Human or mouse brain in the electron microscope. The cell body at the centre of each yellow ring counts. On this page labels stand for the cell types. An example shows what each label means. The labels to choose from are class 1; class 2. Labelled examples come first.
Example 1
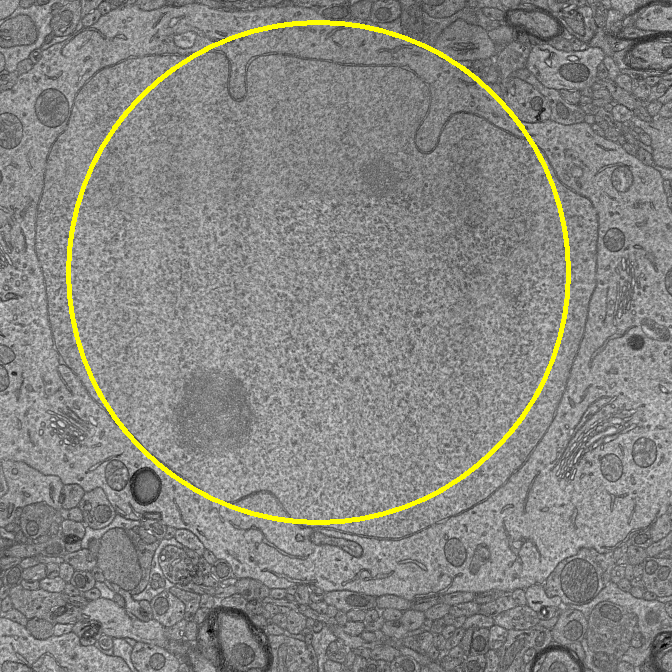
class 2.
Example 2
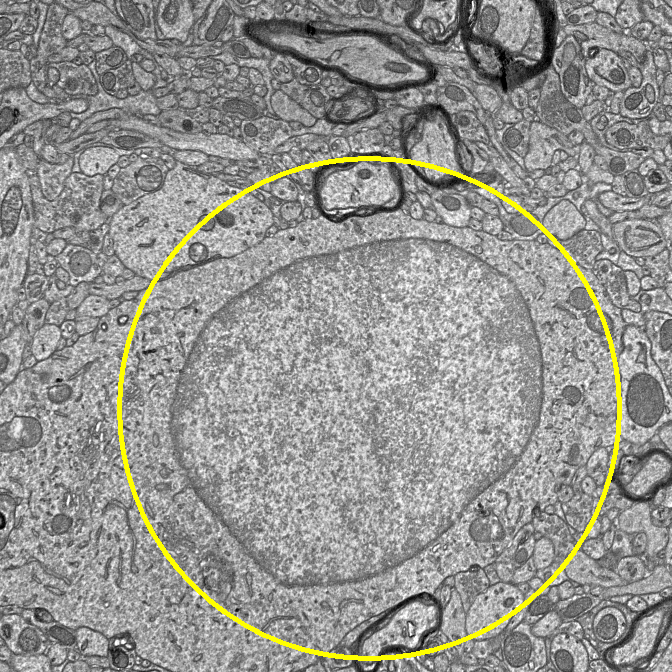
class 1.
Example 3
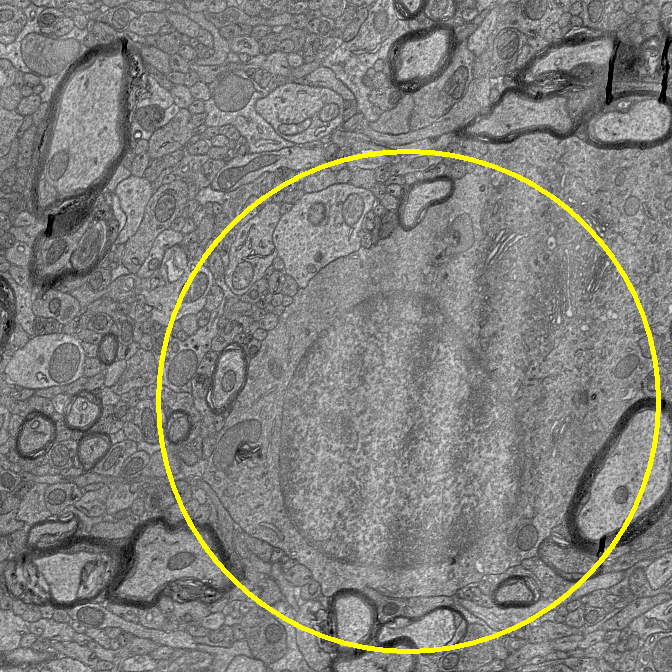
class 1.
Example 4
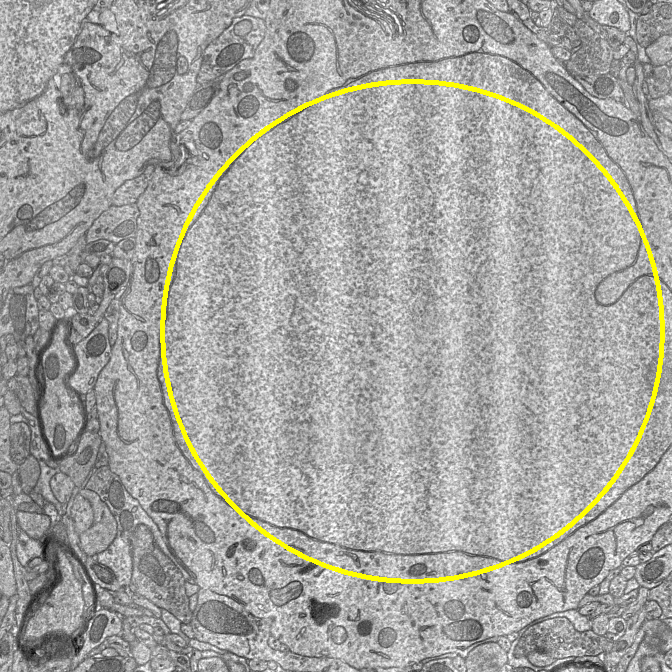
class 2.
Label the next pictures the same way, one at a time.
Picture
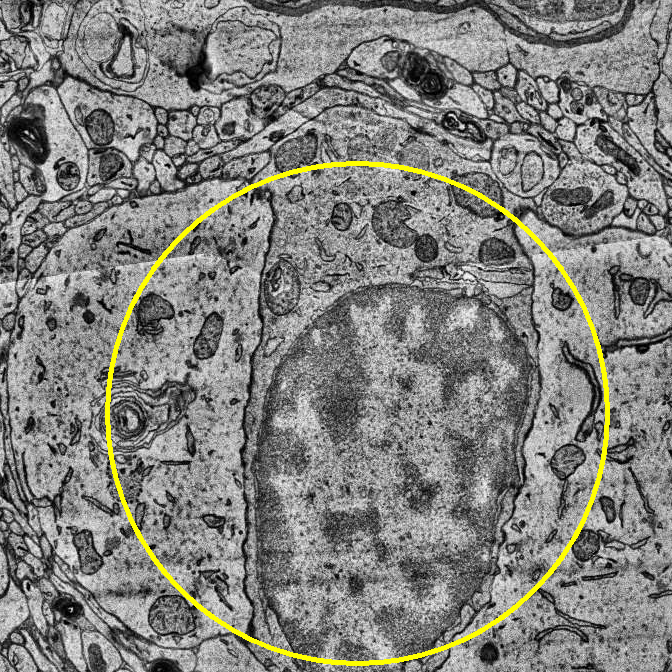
class 1.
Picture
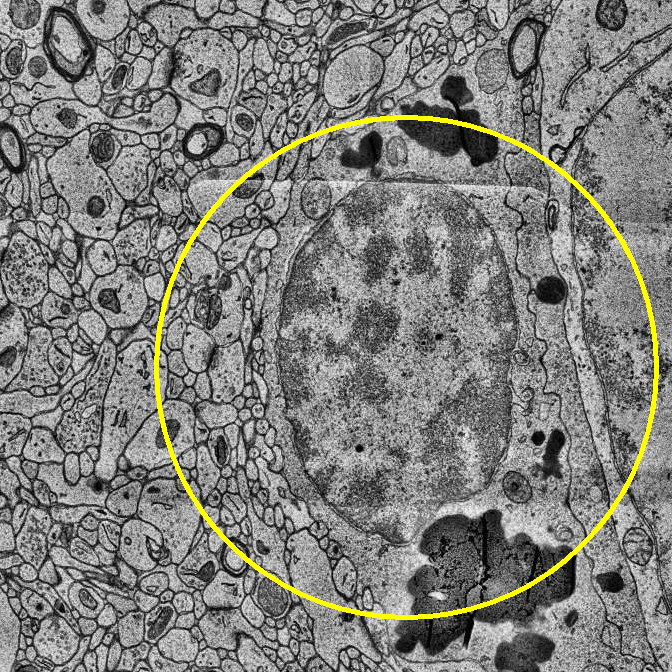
class 1.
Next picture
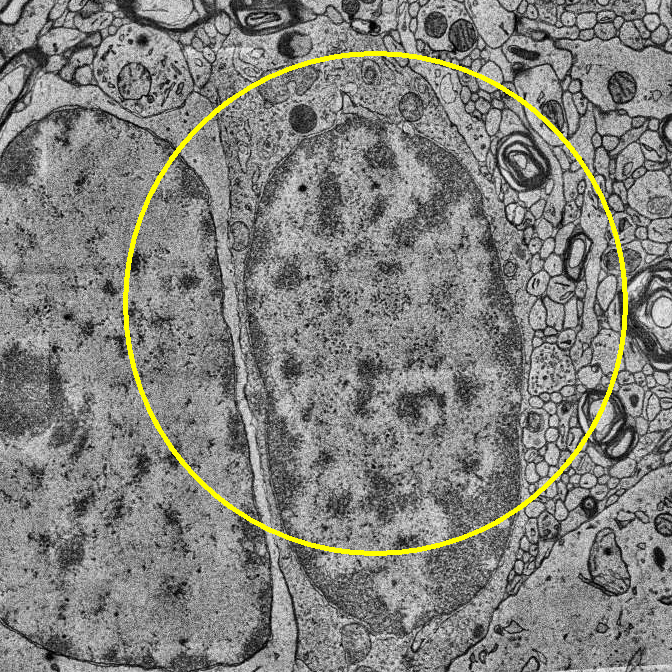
class 1.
